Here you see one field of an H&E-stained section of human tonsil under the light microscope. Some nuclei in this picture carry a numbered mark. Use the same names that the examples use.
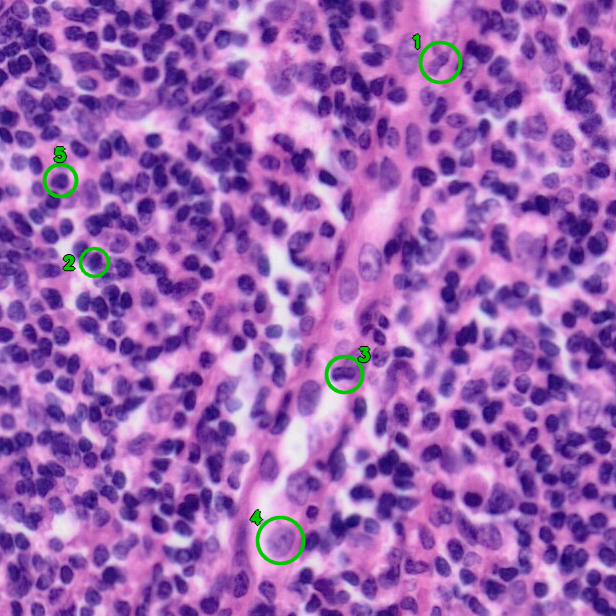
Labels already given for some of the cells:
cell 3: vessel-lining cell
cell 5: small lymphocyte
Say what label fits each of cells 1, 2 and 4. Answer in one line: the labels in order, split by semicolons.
vessel-lining cell; small lymphocyte; vessel-lining cell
